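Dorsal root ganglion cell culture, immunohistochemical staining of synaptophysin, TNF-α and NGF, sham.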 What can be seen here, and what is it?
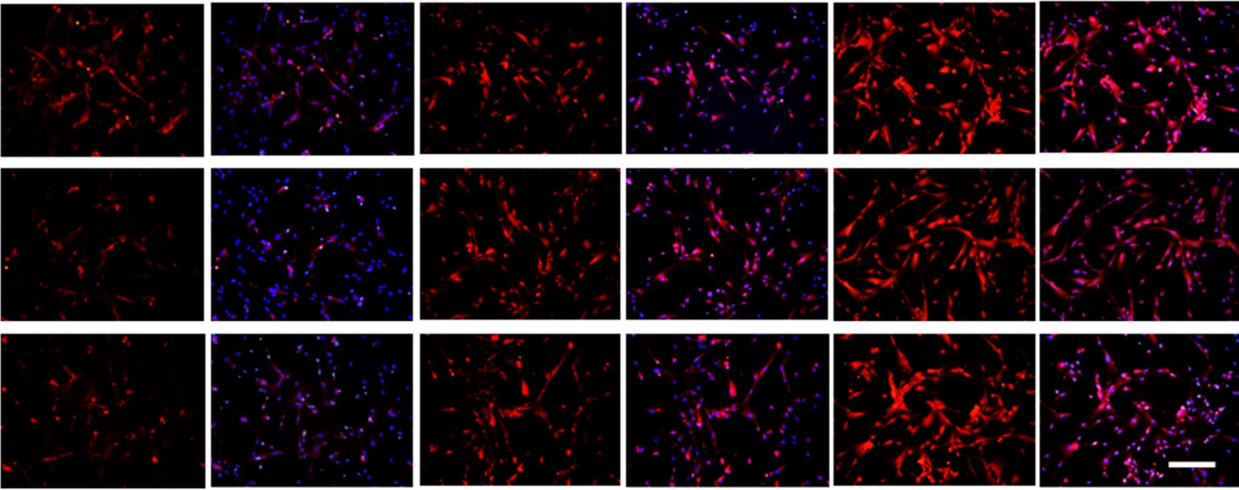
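The images are paired: in each pair, one image shows only red signal, and the matching image adds blue nuclear staining. The red signal fills the cell bodies and their slender processes. Many cells are spindle-shaped or bipolar, with long thin extensions, and some cells are multipolar. The cells are scattered singly or in loose networks across a dark background, with their processes crossing one another. The blue nuclei are small and round to oval. In the overlay images, many of the blue nuclei lie among the red cells, and some nuclei have no red signal around them.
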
